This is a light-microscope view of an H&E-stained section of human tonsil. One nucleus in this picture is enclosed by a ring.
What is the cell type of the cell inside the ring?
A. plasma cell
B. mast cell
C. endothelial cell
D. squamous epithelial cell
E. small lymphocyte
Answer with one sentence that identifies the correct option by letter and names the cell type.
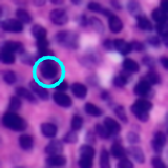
Option E names the cell inside the ring correctly as a small lymphocyte.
